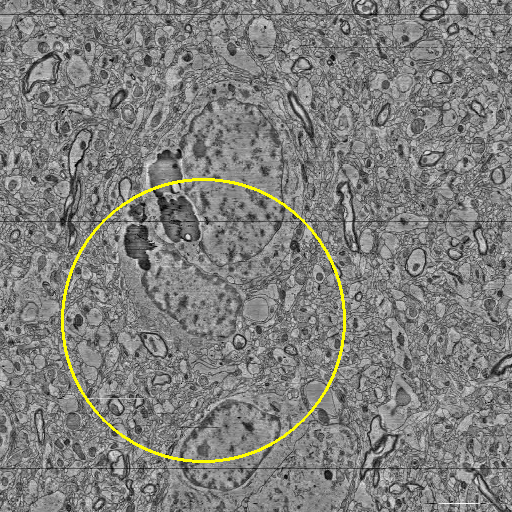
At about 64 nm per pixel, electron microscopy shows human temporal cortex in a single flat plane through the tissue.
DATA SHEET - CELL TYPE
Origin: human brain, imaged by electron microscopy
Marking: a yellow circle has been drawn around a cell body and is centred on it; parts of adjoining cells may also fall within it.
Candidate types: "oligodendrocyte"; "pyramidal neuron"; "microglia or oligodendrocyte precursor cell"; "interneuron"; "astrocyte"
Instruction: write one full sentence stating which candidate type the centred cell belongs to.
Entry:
The cell body at the centre of the yellow ring in this micrograph belongs to an oligodendrocyte.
